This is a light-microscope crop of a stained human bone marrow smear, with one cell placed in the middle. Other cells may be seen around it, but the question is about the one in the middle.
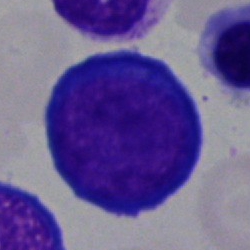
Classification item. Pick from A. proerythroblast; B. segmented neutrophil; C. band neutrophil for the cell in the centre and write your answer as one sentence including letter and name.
The correct option, A, names the middle cell as a proerythroblast.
